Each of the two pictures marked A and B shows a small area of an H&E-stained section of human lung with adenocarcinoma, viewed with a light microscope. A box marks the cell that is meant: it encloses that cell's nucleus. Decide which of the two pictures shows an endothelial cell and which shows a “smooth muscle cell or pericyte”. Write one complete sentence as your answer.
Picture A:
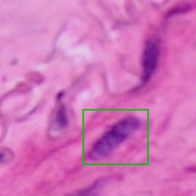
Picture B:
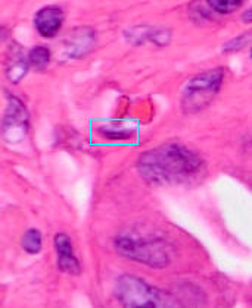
It is picture A that shows a “smooth muscle cell or pericyte”, and picture B that shows an endothelial cell.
